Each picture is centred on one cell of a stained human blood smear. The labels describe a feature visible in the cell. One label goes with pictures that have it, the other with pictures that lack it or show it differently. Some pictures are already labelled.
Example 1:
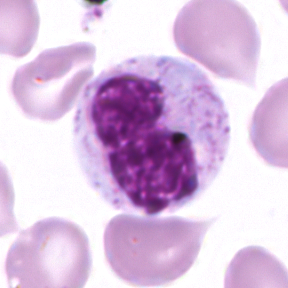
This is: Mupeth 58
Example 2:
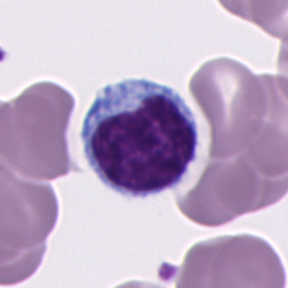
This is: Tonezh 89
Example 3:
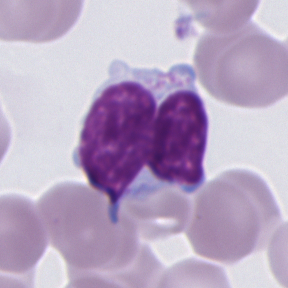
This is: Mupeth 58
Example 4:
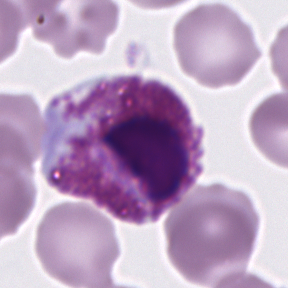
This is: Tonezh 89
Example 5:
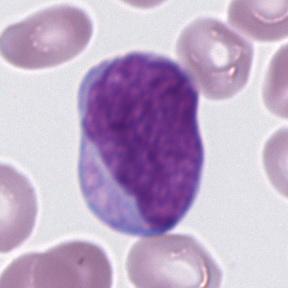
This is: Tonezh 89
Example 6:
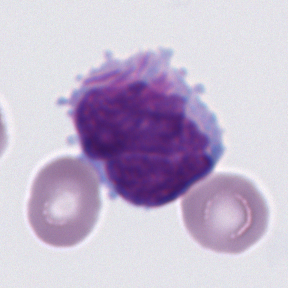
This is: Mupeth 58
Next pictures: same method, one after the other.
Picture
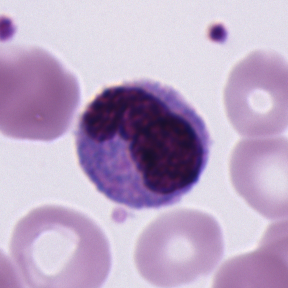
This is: Tonezh 89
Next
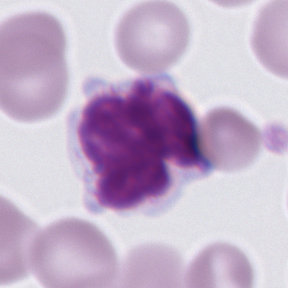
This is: Mupeth 58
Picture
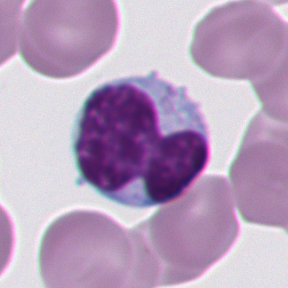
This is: Mupeth 58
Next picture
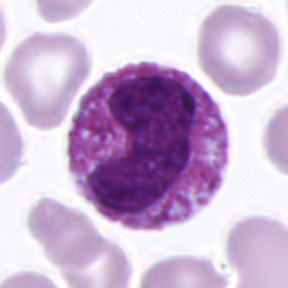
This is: Tonezh 89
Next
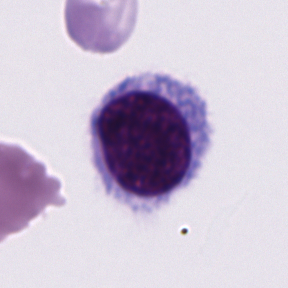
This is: Tonezh 89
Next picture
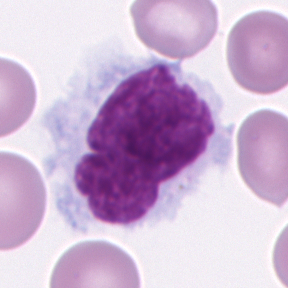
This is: Mupeth 58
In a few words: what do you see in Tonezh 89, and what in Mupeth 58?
In Tonezh 89: single compact nucleus. In Mupeth 58: lobed nucleus.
